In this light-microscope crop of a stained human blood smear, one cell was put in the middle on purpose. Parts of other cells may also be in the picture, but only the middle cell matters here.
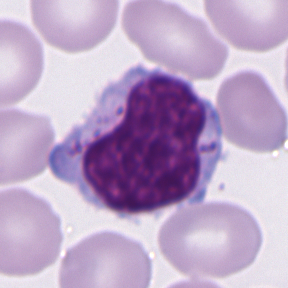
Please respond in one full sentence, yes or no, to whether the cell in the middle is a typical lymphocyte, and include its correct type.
No, not a typical lymphocyte but a large granular lymphocyte is the cell in the centre.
